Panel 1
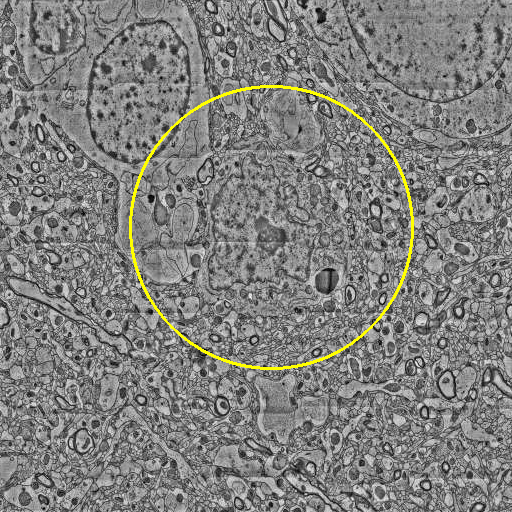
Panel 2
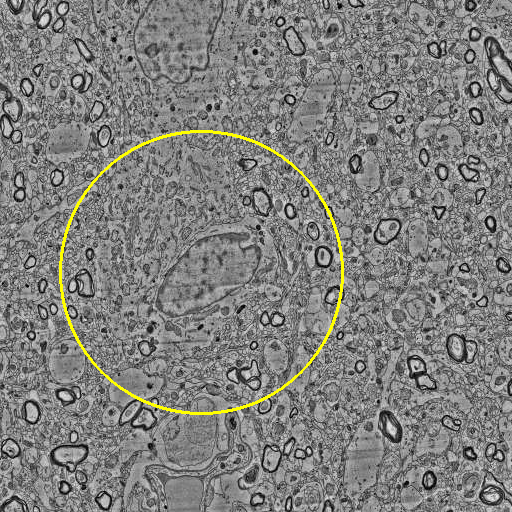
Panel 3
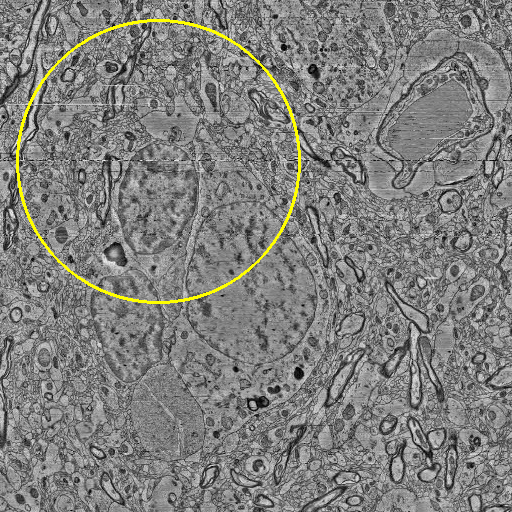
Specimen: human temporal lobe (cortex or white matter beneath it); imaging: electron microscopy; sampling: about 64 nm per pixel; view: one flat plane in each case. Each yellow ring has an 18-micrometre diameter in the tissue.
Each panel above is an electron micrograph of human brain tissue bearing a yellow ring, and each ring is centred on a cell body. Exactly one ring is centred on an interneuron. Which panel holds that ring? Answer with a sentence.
That ring is in Panel 1.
